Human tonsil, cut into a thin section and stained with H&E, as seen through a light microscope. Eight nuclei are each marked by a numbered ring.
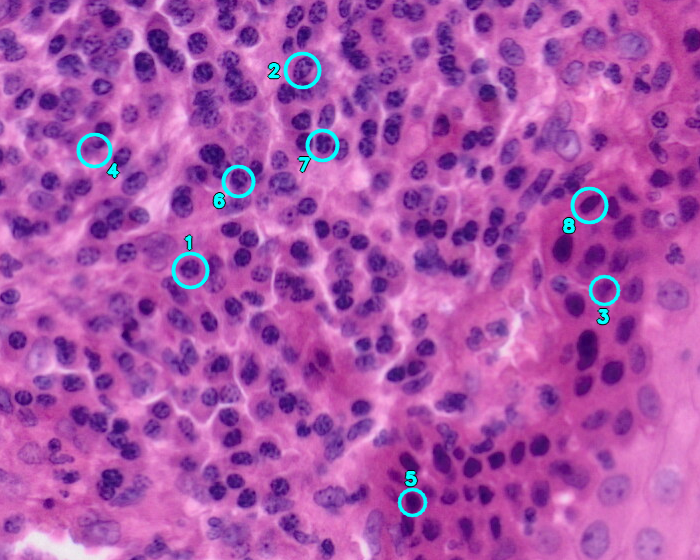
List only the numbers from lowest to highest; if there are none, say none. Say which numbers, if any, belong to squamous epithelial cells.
3, 5, 8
